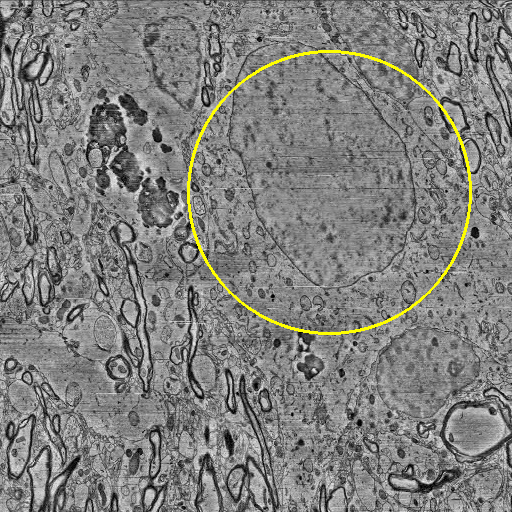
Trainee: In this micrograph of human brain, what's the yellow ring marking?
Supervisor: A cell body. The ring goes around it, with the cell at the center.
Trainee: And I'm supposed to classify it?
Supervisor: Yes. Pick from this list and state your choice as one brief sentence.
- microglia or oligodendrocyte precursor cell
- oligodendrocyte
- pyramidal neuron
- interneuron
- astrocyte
The cell at the ring's center is a pyramidal neuron.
